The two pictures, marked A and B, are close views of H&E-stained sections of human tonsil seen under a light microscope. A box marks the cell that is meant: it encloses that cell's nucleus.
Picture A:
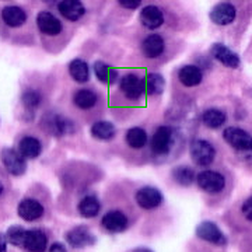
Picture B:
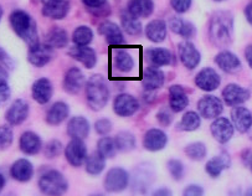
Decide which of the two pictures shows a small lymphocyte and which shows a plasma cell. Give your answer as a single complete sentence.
Picture B shows a small lymphocyte, while picture A shows a plasma cell.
